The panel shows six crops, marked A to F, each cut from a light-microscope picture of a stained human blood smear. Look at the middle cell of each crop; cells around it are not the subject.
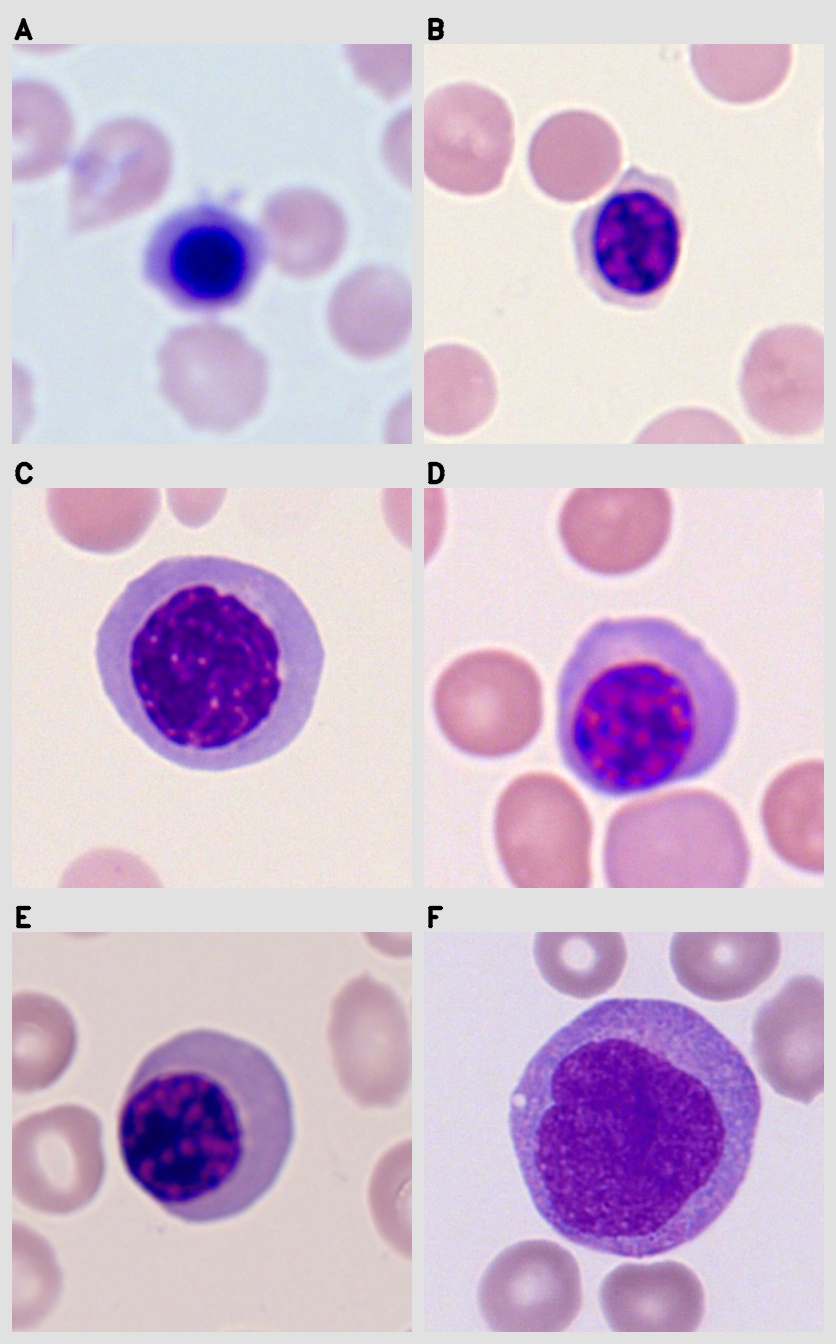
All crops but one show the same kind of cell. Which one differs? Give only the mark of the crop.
F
